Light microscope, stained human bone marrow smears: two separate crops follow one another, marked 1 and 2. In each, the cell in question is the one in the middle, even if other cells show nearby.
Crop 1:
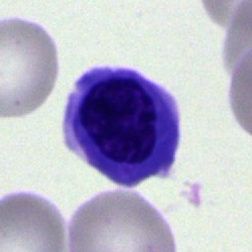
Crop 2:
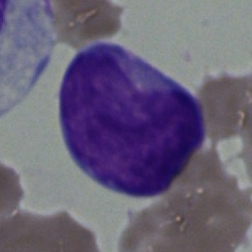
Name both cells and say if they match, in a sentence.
No, the central cell of crop 1 is an erythroblast; that of crop 2 is a blast.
